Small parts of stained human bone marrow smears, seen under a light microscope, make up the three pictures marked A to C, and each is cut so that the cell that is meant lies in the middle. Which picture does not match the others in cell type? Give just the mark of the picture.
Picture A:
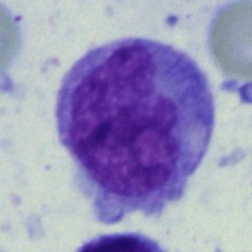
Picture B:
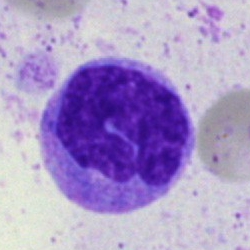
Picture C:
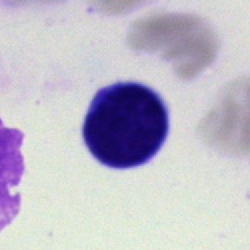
C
